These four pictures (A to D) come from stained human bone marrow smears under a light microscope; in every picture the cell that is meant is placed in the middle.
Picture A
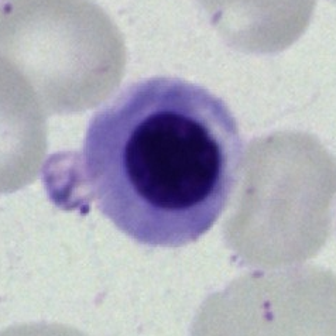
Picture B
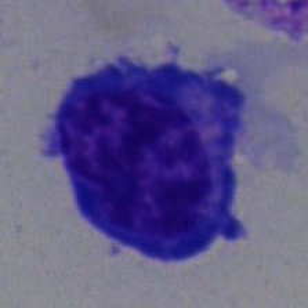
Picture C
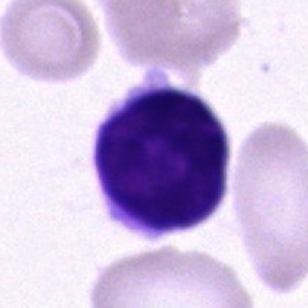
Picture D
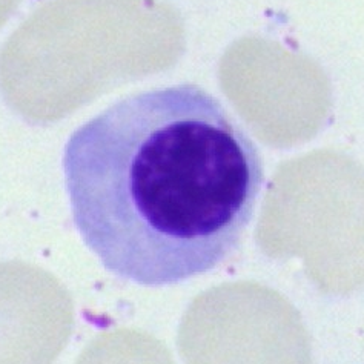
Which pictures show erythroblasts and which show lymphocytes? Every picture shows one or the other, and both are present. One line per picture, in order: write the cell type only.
erythroblast
erythroblast
lymphocyte
erythroblast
